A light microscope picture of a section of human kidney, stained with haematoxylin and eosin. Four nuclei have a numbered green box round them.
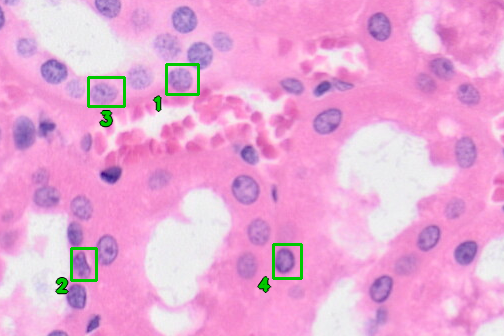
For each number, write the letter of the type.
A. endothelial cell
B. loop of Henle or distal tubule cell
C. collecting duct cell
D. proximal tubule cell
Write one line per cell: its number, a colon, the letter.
1: C
2: B
3: C
4: D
